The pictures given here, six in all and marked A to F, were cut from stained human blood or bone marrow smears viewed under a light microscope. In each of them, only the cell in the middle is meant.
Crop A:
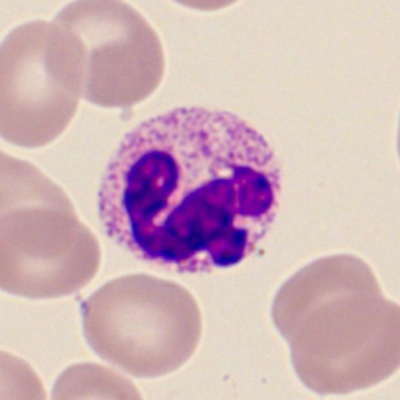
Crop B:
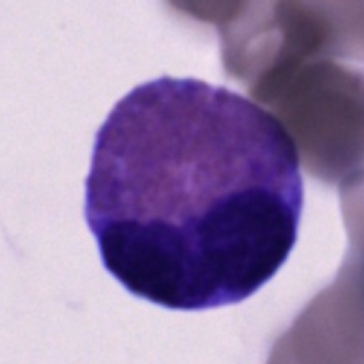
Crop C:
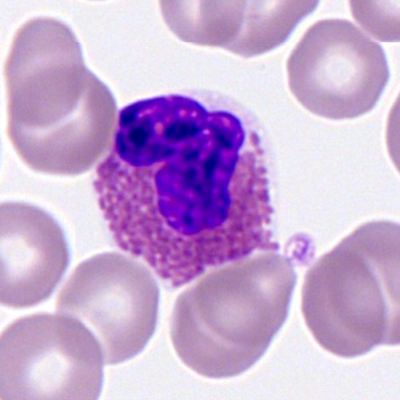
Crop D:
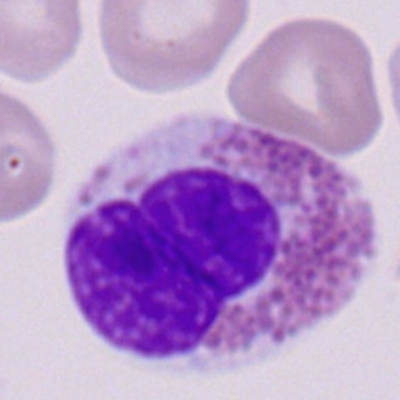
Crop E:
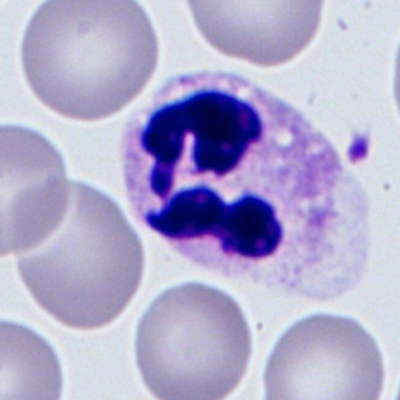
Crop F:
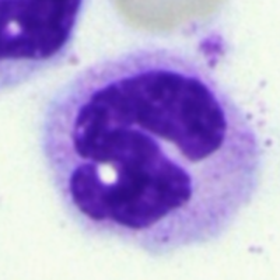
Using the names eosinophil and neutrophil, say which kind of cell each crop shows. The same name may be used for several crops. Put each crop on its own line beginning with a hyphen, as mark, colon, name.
- A: neutrophil
- B: eosinophil
- C: eosinophil
- D: eosinophil
- E: neutrophil
- F: neutrophil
